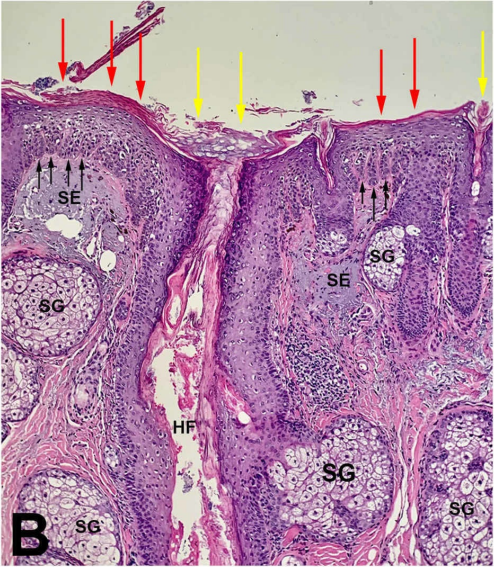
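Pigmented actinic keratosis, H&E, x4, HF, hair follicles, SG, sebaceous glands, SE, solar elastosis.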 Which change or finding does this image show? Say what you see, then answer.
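Markedly thickened squamous epidermis. Many layers of keratinocytes above the basal layer.
Conclusion: acanthosis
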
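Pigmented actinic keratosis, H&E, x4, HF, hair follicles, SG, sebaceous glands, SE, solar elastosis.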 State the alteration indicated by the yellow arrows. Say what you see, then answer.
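Orthokeratosis. Loose, layered keratin without nuclei at the surface. Keratin sits at the follicle openings.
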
